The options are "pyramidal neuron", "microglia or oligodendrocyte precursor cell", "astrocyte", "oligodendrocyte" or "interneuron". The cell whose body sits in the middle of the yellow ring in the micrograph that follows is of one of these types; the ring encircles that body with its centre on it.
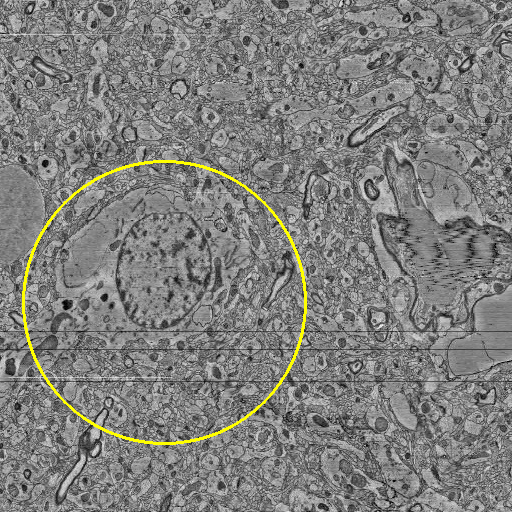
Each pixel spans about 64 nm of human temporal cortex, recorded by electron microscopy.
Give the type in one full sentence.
Going by the micrograph, the cell centred in the yellow ring is an astrocyte.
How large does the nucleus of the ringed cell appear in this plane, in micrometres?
In this plane the nucleus is about 8 micrometres by 6.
